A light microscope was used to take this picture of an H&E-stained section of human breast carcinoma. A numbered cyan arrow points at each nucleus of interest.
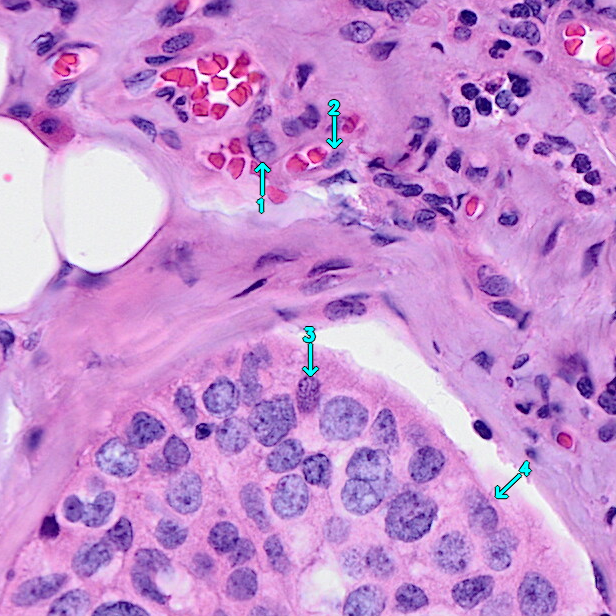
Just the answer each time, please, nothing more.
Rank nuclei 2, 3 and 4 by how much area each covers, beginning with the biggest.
4, 3, 2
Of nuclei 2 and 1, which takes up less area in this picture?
2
